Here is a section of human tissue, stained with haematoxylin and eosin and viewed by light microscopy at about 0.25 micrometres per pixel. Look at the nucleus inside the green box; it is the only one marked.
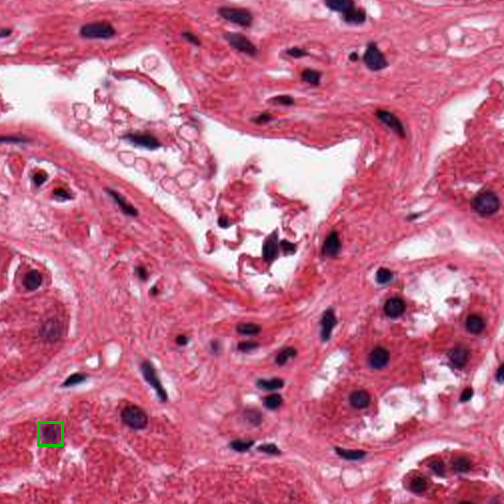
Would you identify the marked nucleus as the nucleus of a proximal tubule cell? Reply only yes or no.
yes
